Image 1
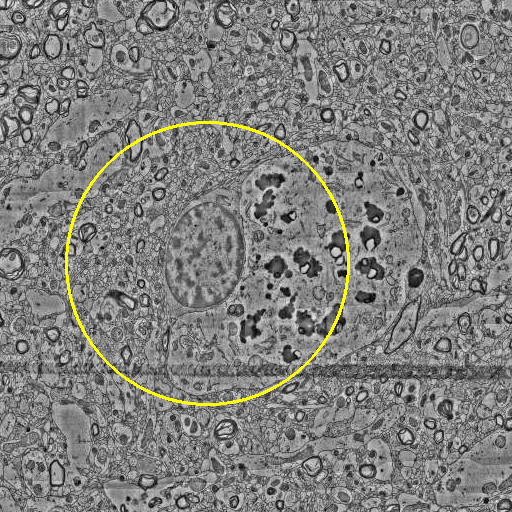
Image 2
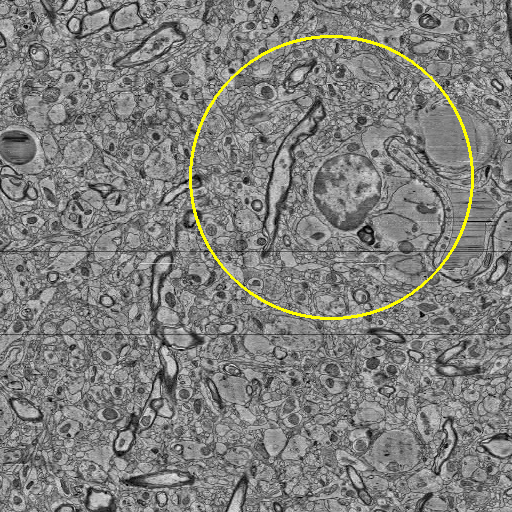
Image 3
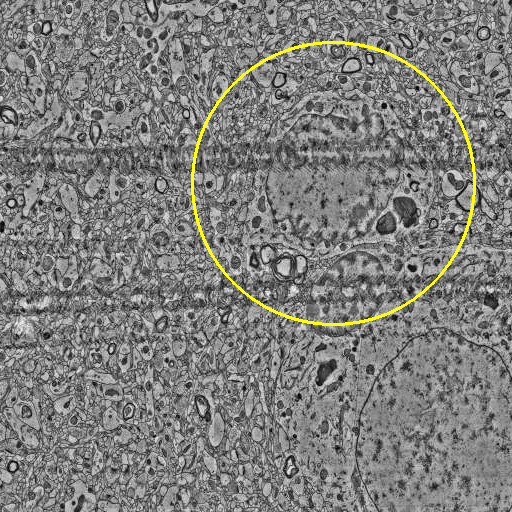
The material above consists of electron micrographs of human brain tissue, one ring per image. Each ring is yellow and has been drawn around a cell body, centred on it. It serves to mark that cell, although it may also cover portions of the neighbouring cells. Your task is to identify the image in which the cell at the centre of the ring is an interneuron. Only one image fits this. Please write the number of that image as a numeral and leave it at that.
3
